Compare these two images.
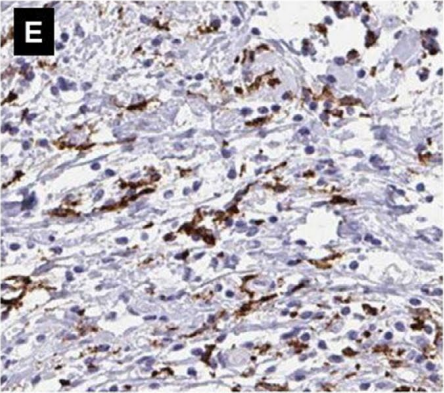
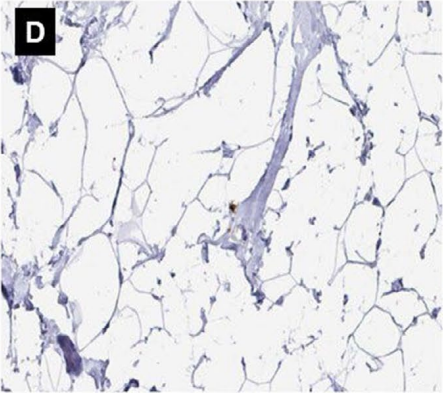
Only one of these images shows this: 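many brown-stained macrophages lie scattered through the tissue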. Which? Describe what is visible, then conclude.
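First image: numerous cells with brown granular staining throughout. Second image: thin-walled empty fat vacuoles with blue rims and almost no brown staining. The answer: the first image.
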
